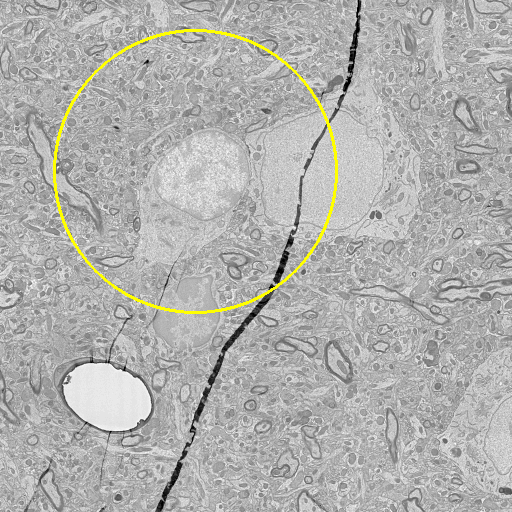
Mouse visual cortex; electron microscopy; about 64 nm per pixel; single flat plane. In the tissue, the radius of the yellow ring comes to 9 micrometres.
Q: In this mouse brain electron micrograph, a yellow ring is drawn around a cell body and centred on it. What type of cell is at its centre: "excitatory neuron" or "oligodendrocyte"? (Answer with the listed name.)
oligodendrocyte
